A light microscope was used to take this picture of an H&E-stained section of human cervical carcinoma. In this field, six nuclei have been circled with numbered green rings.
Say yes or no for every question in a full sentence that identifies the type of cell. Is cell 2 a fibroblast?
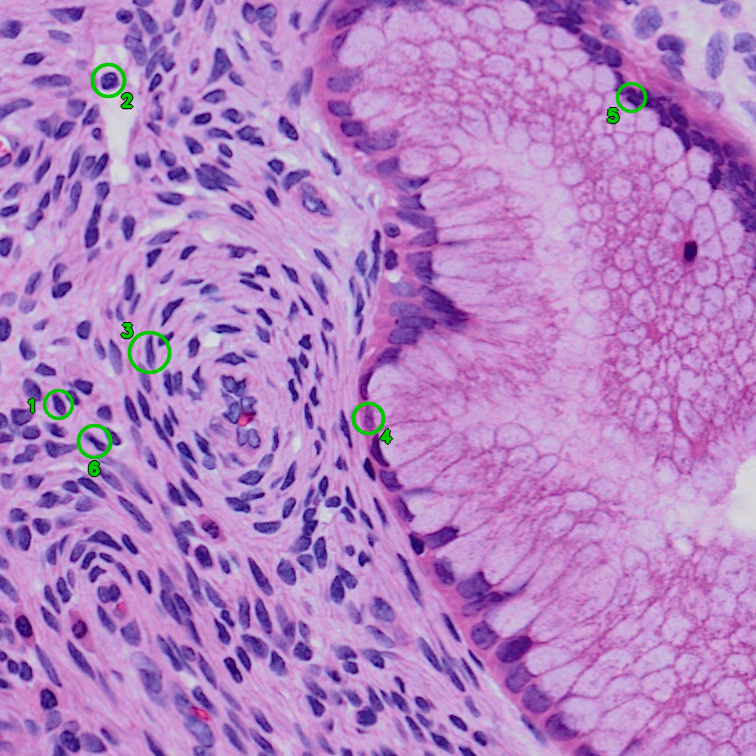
No, cell 2 is identified not as a fibroblast but as a lymphocyte.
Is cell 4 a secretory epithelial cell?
Yes, it is a secretory epithelial cell that number 4 identifies.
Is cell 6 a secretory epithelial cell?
No, it is not a secretory epithelial cell that bears number 6 but a fibroblast.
